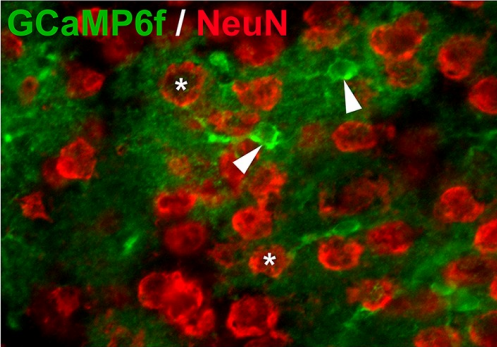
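Many rounded red cell bodies of neurons, each with a darker centre and a ring-like rim, are packed closely across the field. Between them runs a fine, granular green meshwork of thin processes, and a few small green cell bodies with short branches sit among the neurons without overlapping the red. The red neuronal bodies lie in holes of the green meshwork, so the two labels occupy separate cells.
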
